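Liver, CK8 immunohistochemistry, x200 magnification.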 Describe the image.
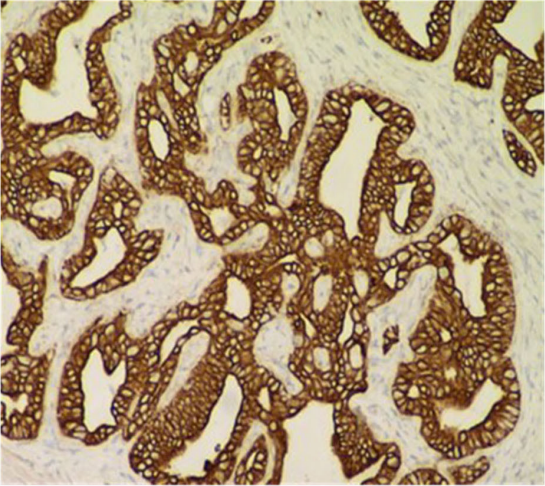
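Anastomosing glandular and tubular structures are lined by epithelial cells whose cytoplasm and membranes are stained intensely brown. The surrounding stroma is pale with blue-counterstained spindle nuclei and shows no brown stain.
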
